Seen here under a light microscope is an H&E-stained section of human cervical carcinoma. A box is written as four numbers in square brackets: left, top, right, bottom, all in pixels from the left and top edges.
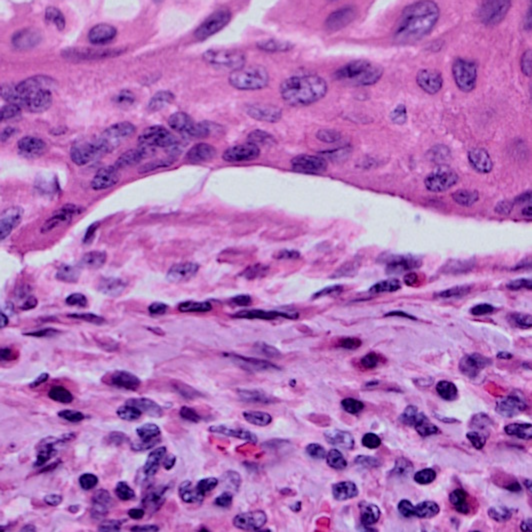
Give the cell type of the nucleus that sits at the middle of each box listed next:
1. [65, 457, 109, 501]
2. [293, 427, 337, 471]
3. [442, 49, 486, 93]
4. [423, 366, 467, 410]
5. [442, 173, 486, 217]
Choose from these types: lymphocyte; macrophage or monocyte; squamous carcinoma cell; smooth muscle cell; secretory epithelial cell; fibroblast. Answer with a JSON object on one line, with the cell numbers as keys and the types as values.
{"1": "lymphocyte", "2": "lymphocyte", "3": "squamous carcinoma cell", "4": "lymphocyte", "5": "squamous carcinoma cell"}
